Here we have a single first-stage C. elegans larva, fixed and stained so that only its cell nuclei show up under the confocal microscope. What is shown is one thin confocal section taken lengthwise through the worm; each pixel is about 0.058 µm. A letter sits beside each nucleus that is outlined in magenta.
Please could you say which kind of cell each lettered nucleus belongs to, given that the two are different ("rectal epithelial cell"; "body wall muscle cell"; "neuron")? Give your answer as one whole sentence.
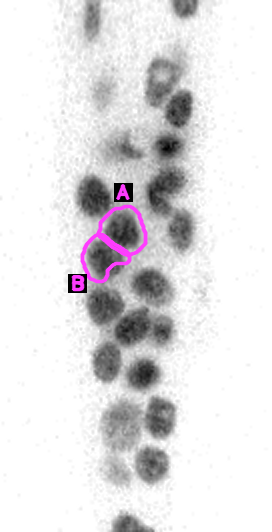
A is the nucleus of a rectal epithelial cell; B is the nucleus of a neuron.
